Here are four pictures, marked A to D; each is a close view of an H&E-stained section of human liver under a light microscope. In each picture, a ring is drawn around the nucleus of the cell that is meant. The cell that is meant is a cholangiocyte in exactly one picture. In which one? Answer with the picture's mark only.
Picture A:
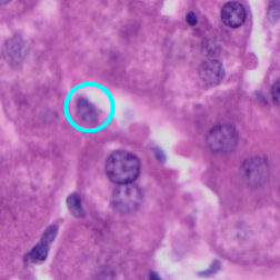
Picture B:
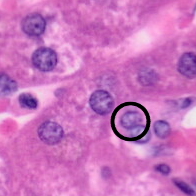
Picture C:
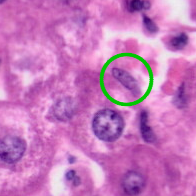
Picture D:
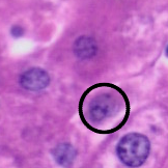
B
